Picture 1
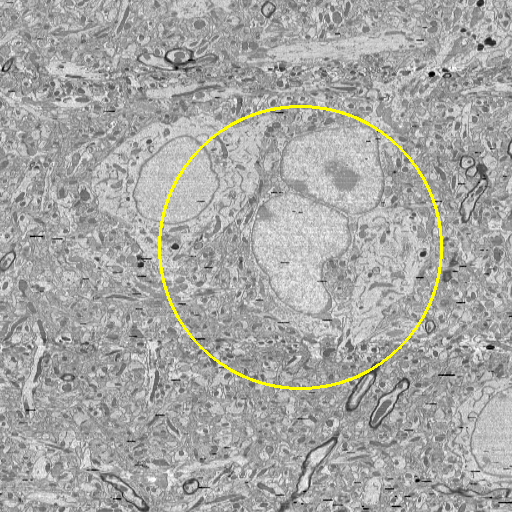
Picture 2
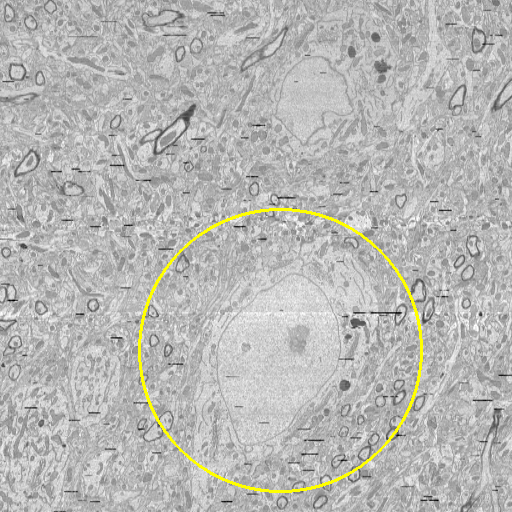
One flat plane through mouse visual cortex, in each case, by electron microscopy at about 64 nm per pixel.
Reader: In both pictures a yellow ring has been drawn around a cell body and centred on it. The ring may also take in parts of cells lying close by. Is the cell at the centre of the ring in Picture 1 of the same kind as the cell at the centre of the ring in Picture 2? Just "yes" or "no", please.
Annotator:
no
